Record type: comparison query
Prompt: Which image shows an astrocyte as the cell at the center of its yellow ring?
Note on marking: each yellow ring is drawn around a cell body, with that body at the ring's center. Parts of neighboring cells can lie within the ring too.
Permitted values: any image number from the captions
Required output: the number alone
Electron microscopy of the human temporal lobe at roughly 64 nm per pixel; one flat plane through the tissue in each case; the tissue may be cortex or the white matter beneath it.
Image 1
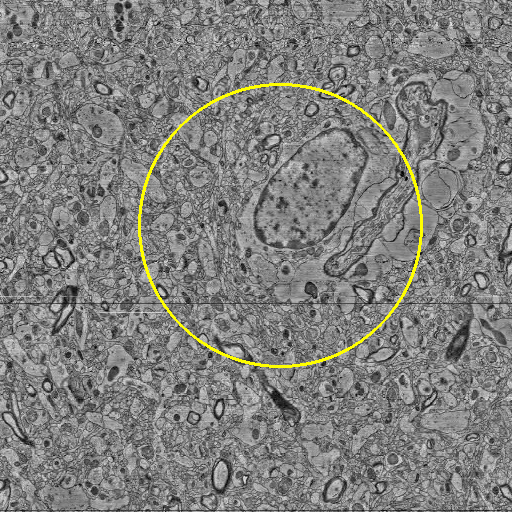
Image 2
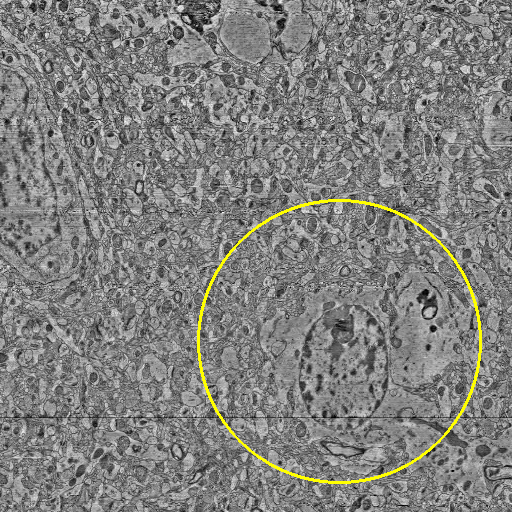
2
